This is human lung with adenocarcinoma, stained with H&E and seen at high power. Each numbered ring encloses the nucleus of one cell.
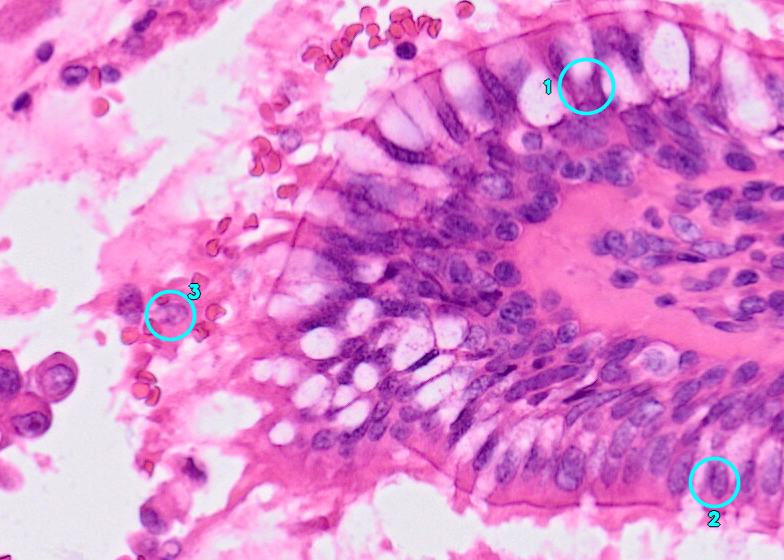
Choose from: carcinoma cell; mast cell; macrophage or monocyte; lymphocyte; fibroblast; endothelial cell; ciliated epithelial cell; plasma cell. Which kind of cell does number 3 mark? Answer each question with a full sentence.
As for number 3, that cell is a macrophage or monocyte.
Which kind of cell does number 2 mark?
Number 2 among the marked cells is a ciliated epithelial cell.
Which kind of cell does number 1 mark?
Cell 1, as marked in the section, is a ciliated epithelial cell.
